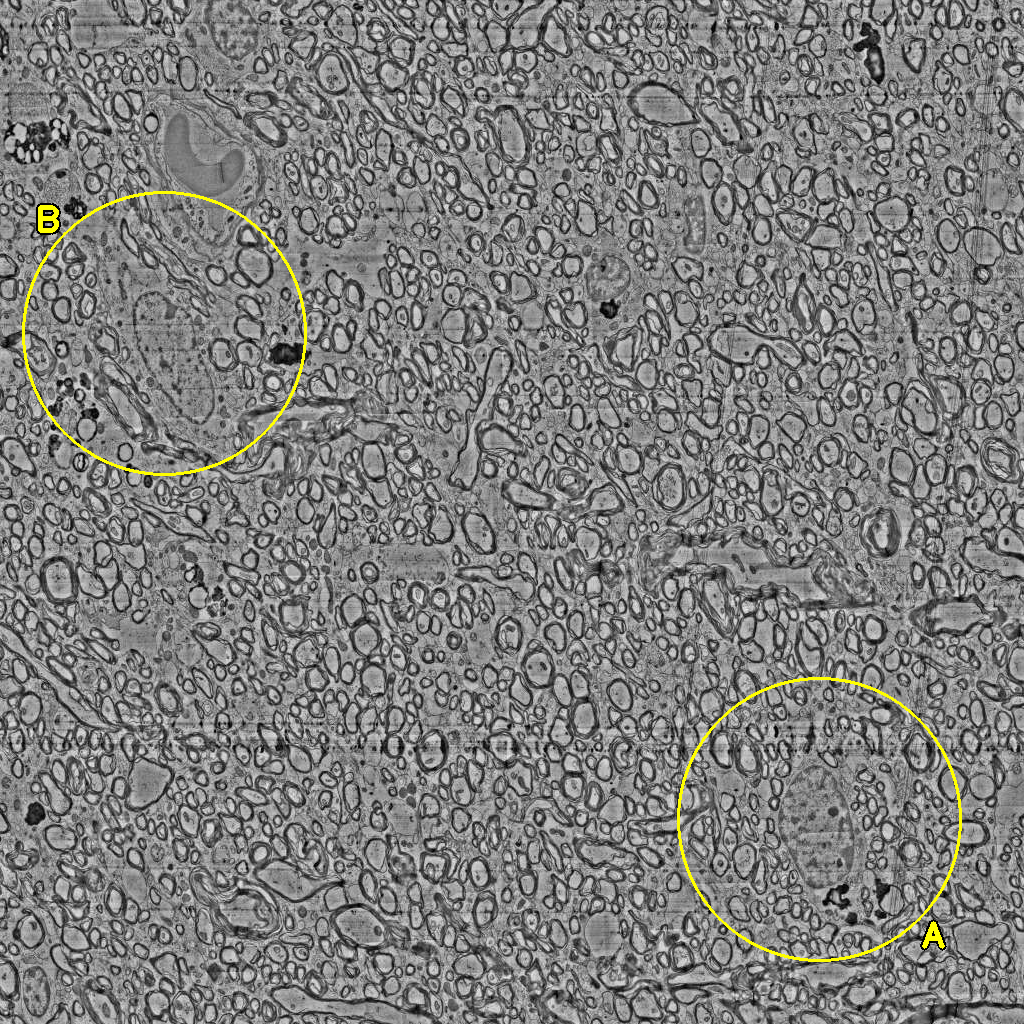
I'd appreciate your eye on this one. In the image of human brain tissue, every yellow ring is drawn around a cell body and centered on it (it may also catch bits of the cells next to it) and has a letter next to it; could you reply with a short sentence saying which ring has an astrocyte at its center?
Ring B is centered on it.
